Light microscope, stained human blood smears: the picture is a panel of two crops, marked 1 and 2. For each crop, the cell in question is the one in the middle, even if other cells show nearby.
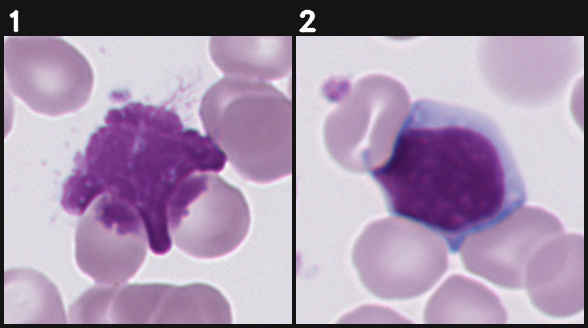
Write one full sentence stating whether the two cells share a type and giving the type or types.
No, the cell centred in crop 1 is a smudge cell, and that centred in crop 2 is a typical lymphocyte.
